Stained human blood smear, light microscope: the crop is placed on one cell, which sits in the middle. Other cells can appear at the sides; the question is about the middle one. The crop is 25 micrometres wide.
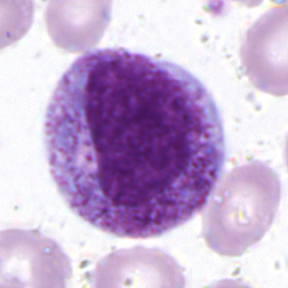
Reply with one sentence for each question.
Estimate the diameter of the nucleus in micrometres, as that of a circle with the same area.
Taken as a circle, the nucleus has a diameter of about 11 micrometres.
